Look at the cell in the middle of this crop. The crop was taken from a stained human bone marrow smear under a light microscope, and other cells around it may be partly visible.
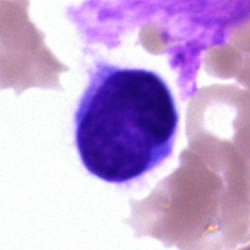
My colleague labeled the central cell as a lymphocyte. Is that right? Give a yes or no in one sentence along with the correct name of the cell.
Yes, the cell lying in the middle is a lymphocyte.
